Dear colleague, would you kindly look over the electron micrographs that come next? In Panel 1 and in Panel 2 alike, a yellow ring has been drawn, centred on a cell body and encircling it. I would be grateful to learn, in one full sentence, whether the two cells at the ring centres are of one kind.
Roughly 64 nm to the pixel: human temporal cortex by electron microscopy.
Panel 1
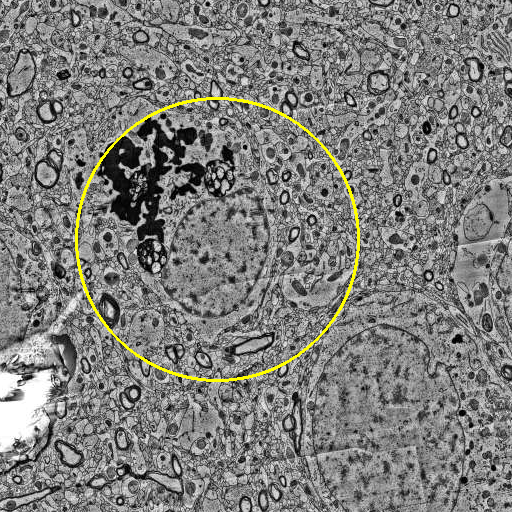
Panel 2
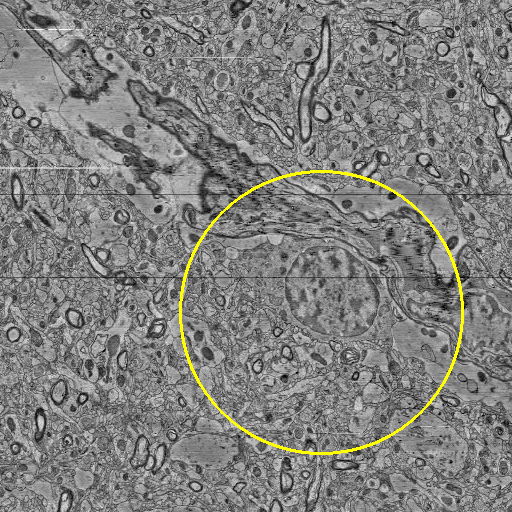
No, the cells in the middle of the rings in the two panels are of two kinds.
